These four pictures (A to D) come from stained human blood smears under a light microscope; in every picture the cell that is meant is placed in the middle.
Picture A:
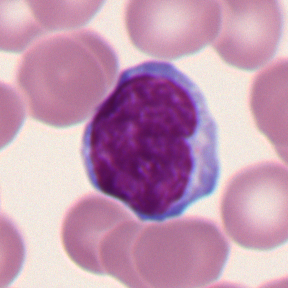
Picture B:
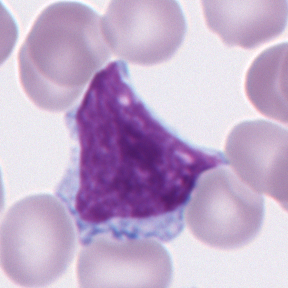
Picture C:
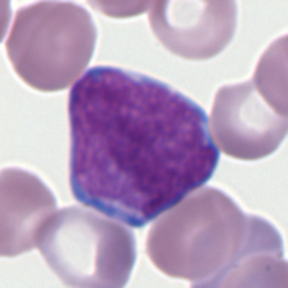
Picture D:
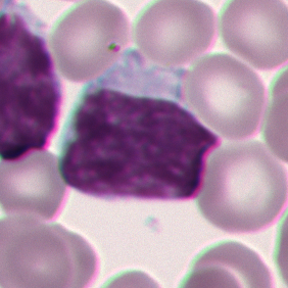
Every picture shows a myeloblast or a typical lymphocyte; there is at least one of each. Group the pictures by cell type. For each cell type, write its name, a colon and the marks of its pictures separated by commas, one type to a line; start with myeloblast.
myeloblast: C
typical lymphocyte: A, B, D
